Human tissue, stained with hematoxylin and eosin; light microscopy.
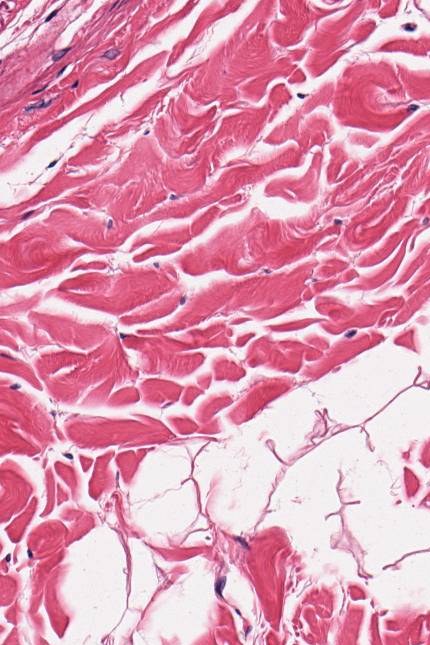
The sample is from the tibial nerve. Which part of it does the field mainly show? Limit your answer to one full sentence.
Visible in this section of human tissue is the part called epineurium.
